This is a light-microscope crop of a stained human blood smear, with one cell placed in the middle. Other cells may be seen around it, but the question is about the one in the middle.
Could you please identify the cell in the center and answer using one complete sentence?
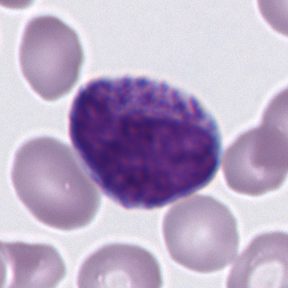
The cell under consideration, at the middle of the crop, is a basophil.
